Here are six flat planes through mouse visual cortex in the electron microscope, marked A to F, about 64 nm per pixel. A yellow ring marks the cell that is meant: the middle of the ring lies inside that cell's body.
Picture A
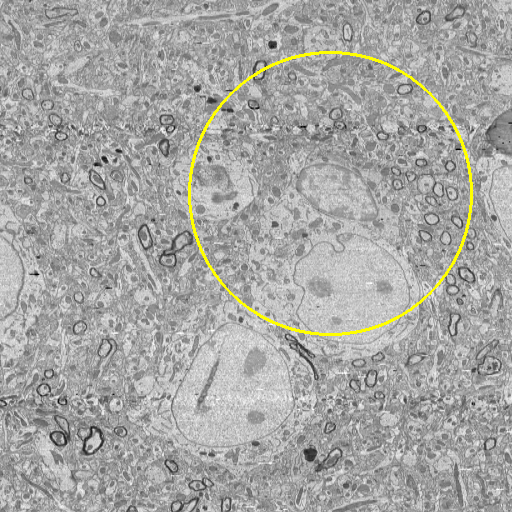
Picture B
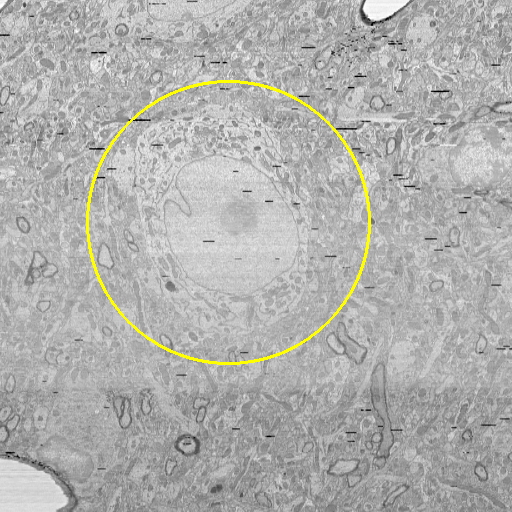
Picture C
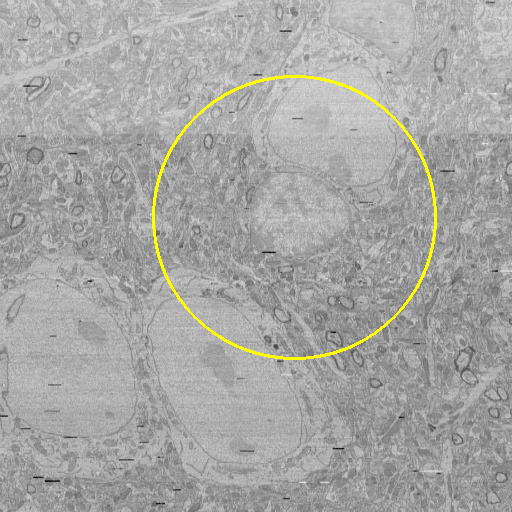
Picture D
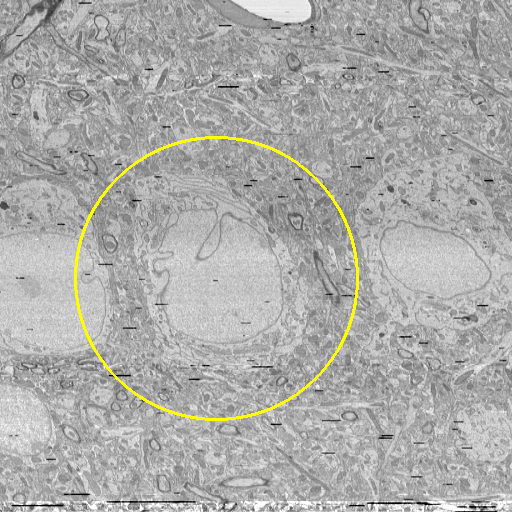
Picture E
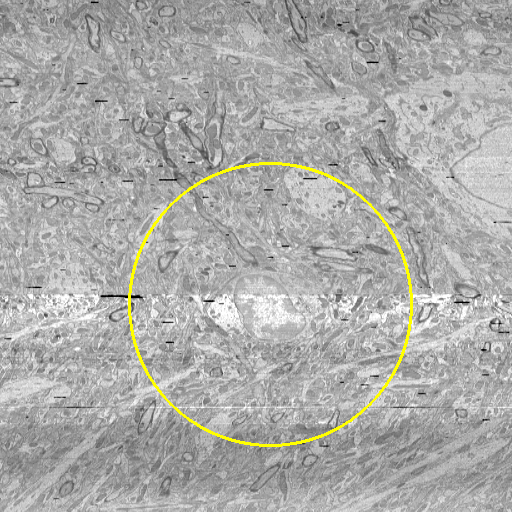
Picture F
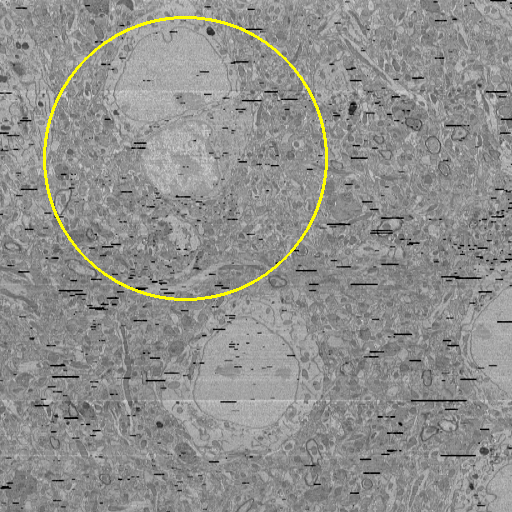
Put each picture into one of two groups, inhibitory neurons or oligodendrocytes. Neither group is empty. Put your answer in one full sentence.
Pictures B and D show inhibitory neurons; pictures A, C, E and F show oligodendrocytes.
